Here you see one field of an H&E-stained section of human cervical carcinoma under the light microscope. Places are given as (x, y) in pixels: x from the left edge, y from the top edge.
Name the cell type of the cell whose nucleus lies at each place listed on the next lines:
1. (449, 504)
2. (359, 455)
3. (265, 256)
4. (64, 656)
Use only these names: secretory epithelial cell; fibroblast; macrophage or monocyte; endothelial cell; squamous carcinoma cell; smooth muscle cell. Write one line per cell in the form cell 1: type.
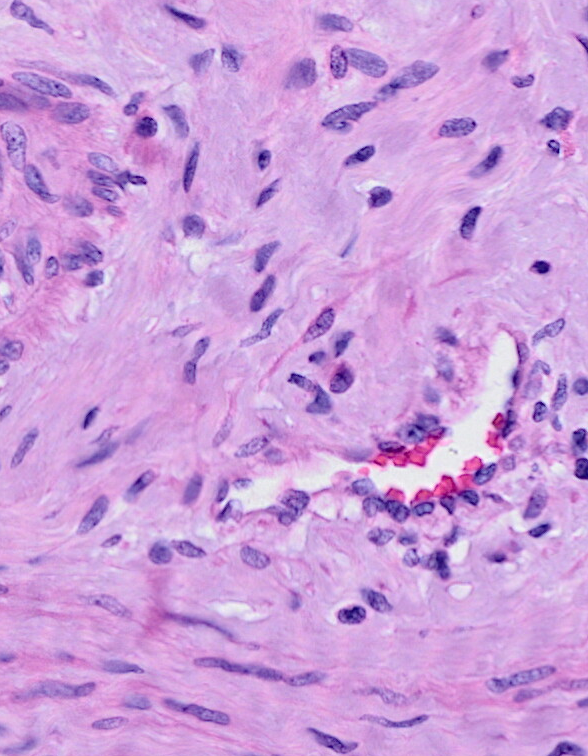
cell 1: endothelial cell
cell 2: endothelial cell
cell 3: fibroblast
cell 4: smooth muscle cell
